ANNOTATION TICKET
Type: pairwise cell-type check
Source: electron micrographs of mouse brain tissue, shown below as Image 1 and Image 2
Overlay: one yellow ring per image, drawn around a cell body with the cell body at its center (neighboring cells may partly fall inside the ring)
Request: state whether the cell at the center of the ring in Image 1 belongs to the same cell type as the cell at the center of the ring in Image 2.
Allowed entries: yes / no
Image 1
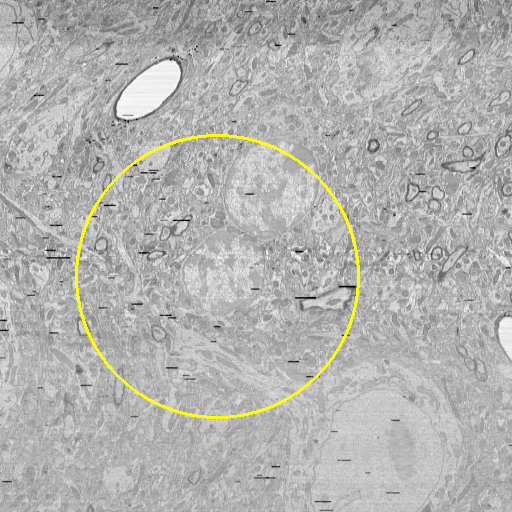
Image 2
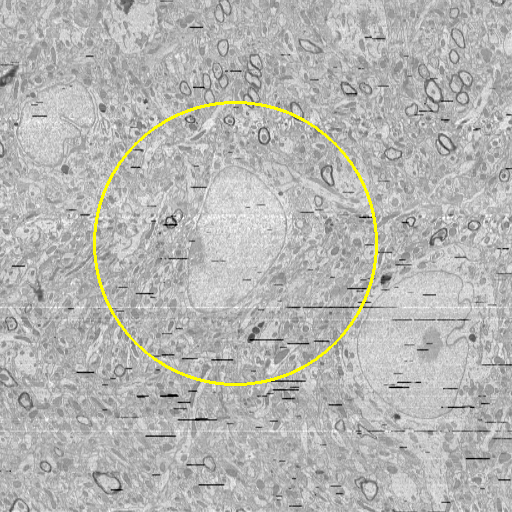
no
